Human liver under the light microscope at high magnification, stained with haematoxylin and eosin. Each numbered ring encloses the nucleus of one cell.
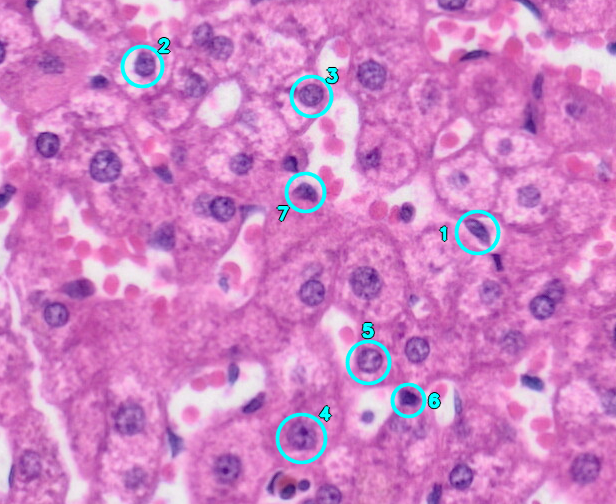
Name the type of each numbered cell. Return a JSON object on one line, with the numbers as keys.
{"1": "Kupffer cell", "2": "hepatocyte", "3": "hepatocyte", "4": "hepatocyte", "5": "hepatocyte", "6": "fibroblast or stellate cell", "7": "endothelial cell"}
